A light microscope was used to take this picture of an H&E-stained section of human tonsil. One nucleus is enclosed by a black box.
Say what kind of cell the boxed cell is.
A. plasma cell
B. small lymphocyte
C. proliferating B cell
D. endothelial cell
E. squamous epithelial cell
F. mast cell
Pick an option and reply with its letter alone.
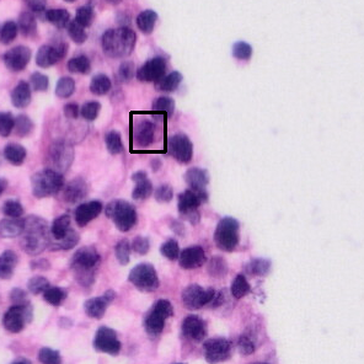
C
